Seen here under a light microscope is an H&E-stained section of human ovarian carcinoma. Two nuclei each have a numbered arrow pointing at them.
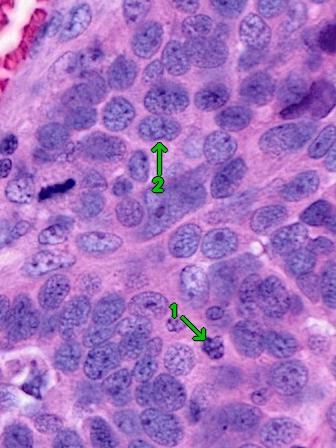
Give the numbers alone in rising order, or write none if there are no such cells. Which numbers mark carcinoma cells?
2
